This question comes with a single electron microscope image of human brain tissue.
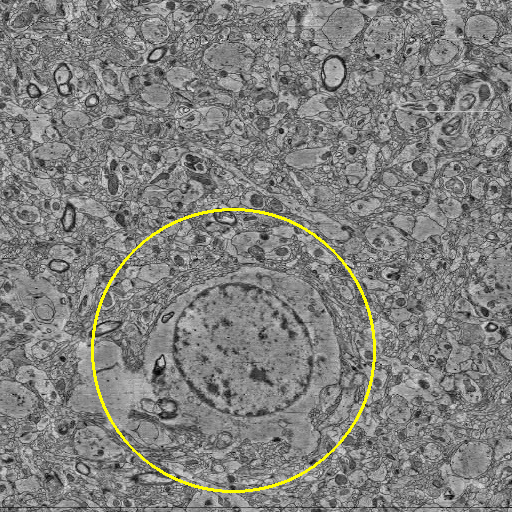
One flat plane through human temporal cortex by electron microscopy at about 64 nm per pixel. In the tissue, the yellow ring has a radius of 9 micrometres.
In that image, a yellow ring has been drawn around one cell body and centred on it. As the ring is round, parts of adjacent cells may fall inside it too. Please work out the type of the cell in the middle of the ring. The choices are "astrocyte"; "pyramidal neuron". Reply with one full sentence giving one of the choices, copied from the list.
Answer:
Of the choices, an astrocyte is the cell sitting in the middle of the ring.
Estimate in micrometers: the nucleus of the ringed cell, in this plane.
In this plane, roughly 9 micrometres across.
